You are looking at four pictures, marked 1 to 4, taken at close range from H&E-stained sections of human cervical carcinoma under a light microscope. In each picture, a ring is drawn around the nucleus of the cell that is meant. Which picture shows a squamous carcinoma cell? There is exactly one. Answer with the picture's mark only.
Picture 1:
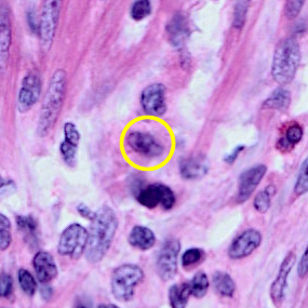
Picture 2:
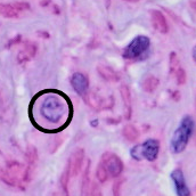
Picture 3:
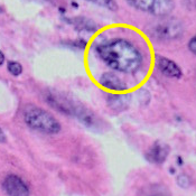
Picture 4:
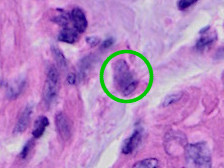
3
